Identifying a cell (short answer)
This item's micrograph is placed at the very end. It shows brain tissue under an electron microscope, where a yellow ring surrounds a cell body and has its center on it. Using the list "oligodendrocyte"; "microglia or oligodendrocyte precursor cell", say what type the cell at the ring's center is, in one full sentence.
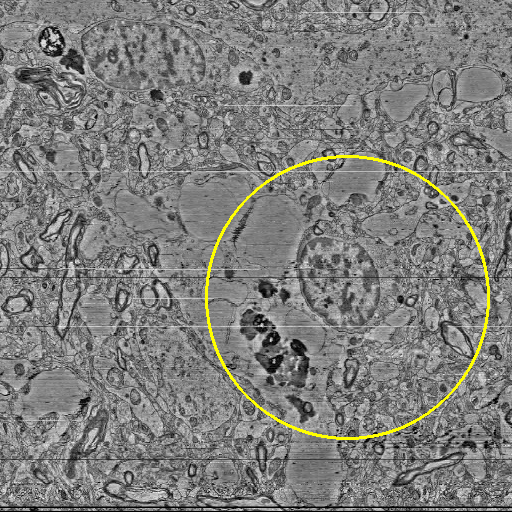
This picture shows an oligodendrocyte at the center of the yellow ring drawn on it.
